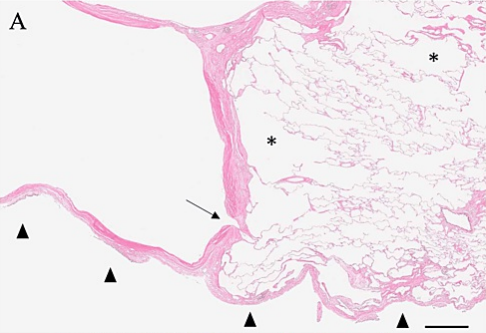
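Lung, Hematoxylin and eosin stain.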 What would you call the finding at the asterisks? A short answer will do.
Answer: Emphysematous changes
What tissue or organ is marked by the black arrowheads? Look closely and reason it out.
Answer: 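A thin pink fibrous membrane runs along the outer surface of the tissue. It bounds the large empty space and covers the lung parenchyma.
Answer: pleura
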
